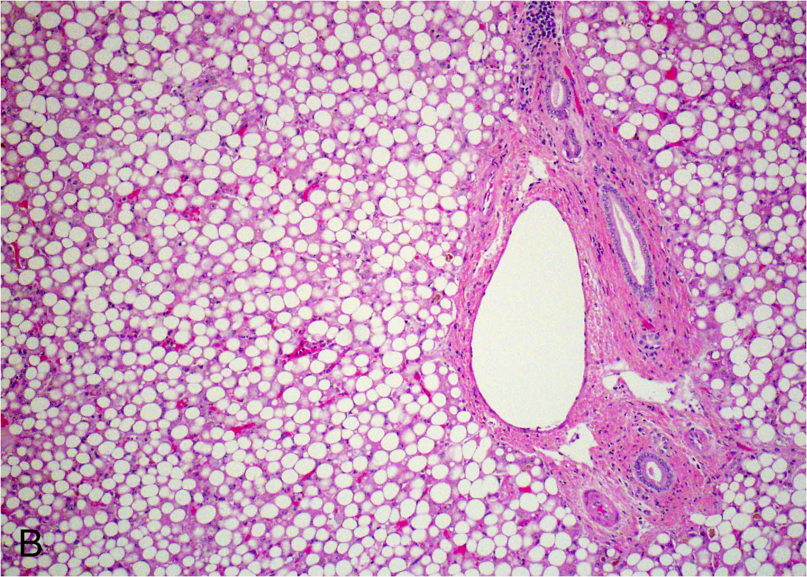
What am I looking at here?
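This section of liver shows hepatocytes swollen and distorted by large, discrete, round, colorless vacuoles in their cytoplasm. The vacuoles are sharply outlined and empty-looking, and they occupy most of nearly every cell, so the parenchyma takes on a honeycomb or lace-like appearance. The remaining pink cytoplasm and the small dark nuclei are squeezed into thin rims between the vacuoles, and narrow sinusoids with red blood cells run between the cells. At the right lies a portal area of pink fibrous tissue. It contains a large, thin-walled, empty vein, small muscular arteries and bile ductules lined by cuboidal epithelium, with a small cluster of dark inflammatory cells at its upper end.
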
